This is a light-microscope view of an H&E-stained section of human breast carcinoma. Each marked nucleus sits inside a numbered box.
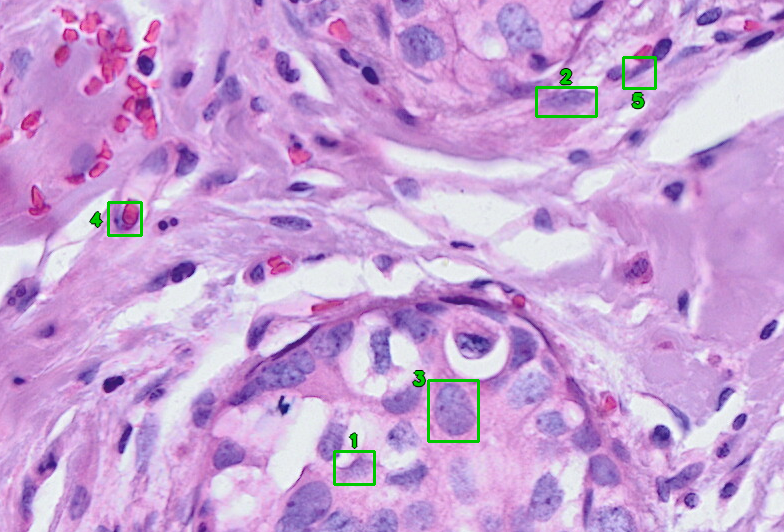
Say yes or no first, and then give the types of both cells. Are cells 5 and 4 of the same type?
Yes, the two numbered cells 5 and 4 are both endothelial cells.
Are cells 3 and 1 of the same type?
Yes, that is correct, cells 3 and 1 are both carcinoma cells.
